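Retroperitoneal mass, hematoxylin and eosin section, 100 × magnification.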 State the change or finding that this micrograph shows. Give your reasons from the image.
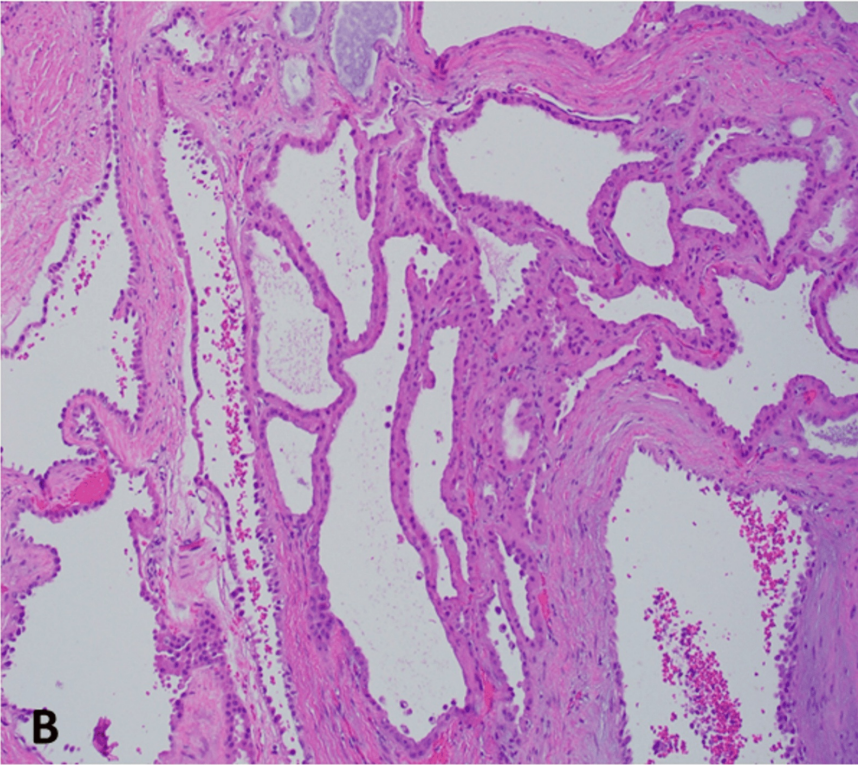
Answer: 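Many tubules and cysts of varying size and shape, several markedly dilated. Each space is lined by a single layer of epithelial cells. Pink fibrous septa of differing thickness separate the spaces. So: tubulocystic pattern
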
